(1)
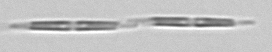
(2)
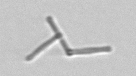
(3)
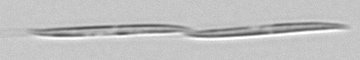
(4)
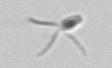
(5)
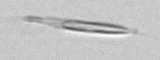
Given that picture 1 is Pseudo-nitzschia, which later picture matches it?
3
